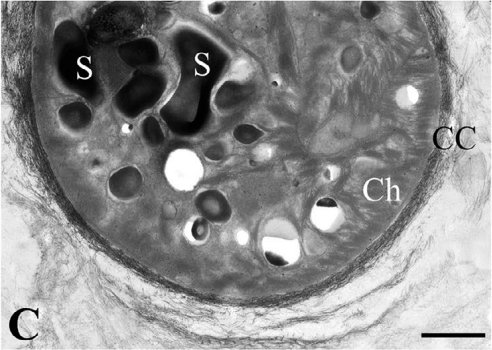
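A single algal cell in section with a dense cytoplasm largely filled by a chloroplast containing many very electron-dense, irregular starch grains and some pale vacuole-like spaces. The cell is enclosed by a thin, dense layer close to its surface, outside which lie several looser, fibrous layers of a thick cell coverage.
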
